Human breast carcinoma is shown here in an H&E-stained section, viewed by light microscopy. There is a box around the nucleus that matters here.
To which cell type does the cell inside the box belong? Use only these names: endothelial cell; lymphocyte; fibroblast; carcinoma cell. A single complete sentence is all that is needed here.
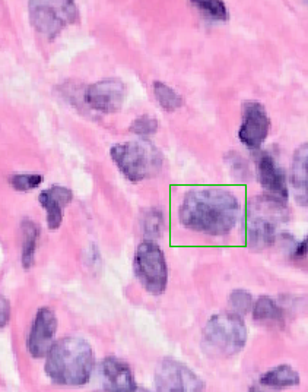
Placed in its cell category, the cell inside the box is a carcinoma cell.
